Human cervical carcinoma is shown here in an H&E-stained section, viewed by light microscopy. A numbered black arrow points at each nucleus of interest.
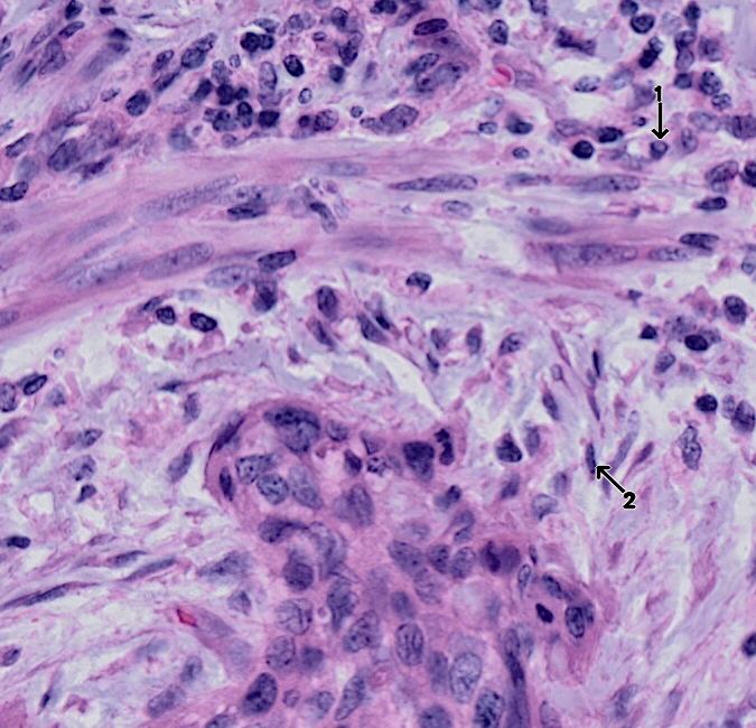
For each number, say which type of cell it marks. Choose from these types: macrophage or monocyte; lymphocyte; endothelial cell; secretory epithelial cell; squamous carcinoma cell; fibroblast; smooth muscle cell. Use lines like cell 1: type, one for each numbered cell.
cell 1: lymphocyte
cell 2: fibroblast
